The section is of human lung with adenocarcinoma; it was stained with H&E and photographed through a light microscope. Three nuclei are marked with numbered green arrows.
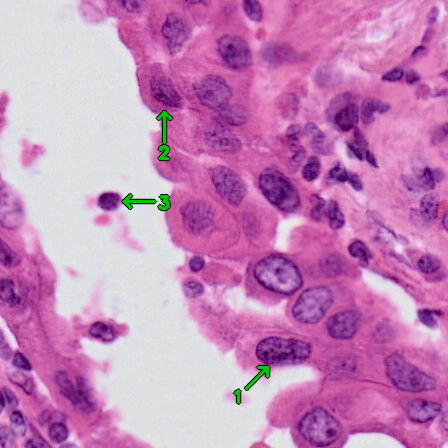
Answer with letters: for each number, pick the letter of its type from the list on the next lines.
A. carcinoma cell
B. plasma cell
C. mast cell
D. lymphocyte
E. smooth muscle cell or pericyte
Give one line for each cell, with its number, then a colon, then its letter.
1: A
2: A
3: D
